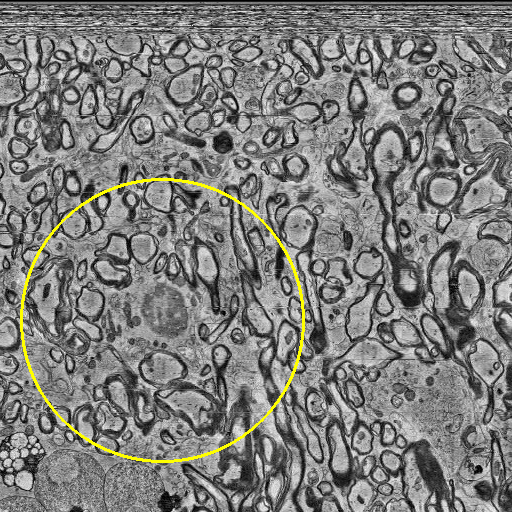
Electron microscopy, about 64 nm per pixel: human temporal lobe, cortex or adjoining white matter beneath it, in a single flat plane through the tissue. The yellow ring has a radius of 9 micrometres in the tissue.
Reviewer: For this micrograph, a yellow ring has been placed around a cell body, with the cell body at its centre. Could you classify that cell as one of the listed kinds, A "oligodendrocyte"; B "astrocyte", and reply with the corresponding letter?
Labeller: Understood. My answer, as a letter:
A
